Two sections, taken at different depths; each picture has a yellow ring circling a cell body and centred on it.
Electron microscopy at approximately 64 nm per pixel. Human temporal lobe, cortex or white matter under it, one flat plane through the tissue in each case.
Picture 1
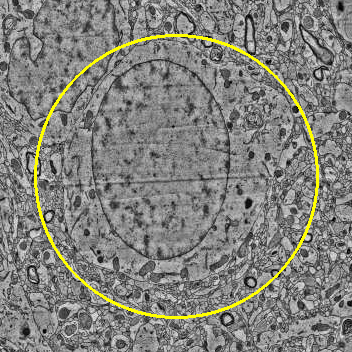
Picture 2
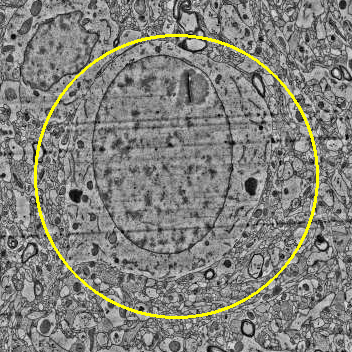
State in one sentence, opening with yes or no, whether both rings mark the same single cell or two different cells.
Yes, both yellow rings were placed on the same cell.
